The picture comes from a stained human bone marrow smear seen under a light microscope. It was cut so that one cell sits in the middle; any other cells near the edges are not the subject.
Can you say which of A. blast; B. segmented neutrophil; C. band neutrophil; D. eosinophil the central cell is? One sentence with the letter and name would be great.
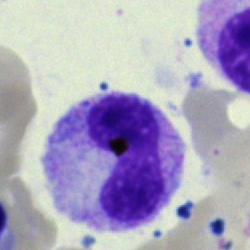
Option C is the correct selection, for the cell at the centre is a band neutrophil.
